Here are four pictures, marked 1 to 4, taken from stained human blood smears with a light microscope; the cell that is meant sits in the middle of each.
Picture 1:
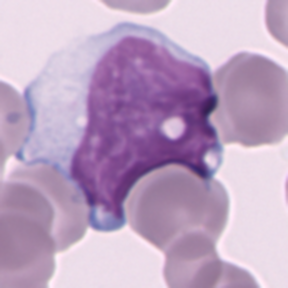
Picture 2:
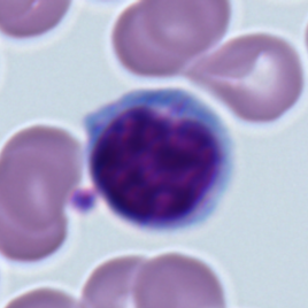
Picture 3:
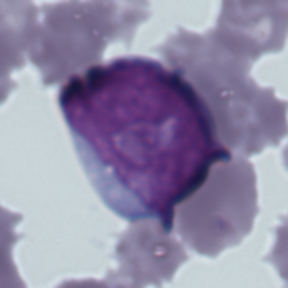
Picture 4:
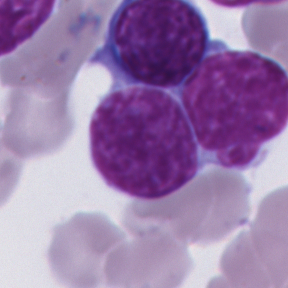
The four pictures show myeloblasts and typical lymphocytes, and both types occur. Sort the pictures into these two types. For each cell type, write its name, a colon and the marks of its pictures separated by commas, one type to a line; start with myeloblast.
myeloblast: 1, 3, 4
typical lymphocyte: 2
